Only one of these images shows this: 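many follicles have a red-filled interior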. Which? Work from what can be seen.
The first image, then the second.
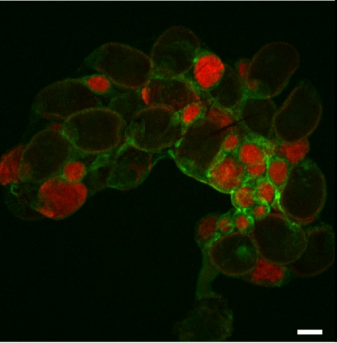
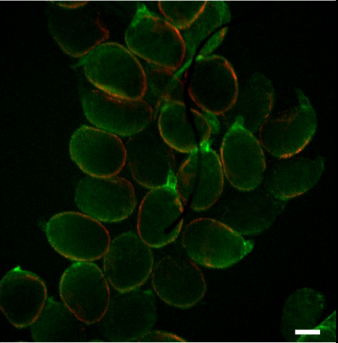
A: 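The first image. First image: many follicles are filled with bright red. Second image: red is limited to thin crescents at follicle edges, with no red-filled follicles.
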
